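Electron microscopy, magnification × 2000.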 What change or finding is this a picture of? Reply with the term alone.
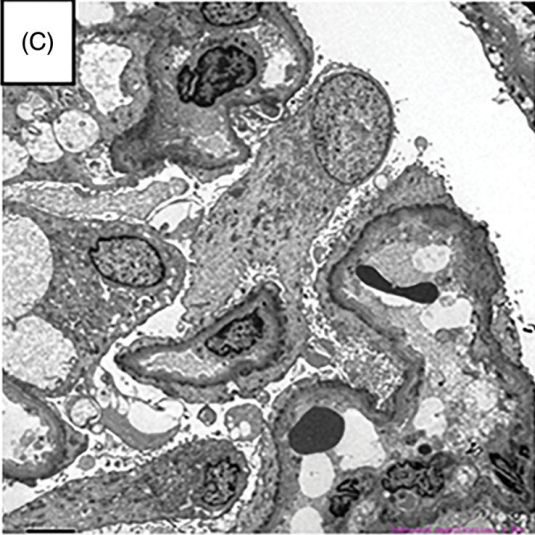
Diffuse podocyte foot process effacement.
